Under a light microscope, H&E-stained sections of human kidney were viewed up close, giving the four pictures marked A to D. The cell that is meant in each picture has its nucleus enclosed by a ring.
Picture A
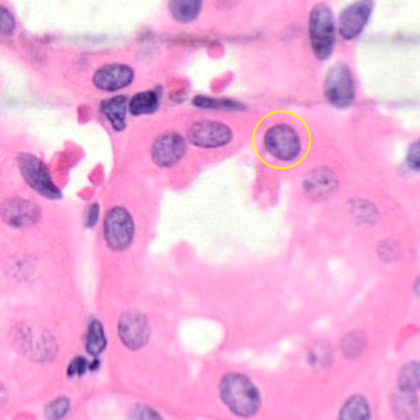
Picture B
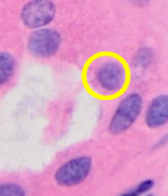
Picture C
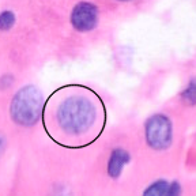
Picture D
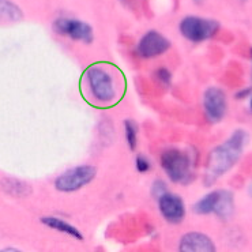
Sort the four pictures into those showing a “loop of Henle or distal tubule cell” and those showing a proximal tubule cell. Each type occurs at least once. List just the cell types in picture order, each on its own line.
proximal tubule cell
loop of Henle or distal tubule cell
loop of Henle or distal tubule cell
loop of Henle or distal tubule cell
